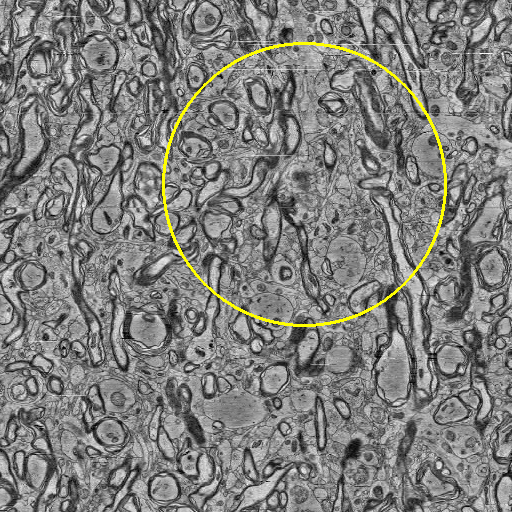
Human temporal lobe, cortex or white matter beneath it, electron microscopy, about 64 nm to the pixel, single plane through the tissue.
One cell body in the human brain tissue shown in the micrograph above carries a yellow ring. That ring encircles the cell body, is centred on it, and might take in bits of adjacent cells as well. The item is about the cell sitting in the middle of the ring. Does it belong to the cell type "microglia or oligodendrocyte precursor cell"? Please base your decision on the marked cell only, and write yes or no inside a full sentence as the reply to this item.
Yes, the cell at the middle of the ring in the micrograph is of this kind.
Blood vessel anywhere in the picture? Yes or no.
No.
